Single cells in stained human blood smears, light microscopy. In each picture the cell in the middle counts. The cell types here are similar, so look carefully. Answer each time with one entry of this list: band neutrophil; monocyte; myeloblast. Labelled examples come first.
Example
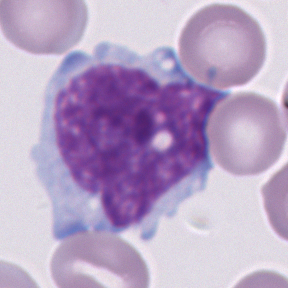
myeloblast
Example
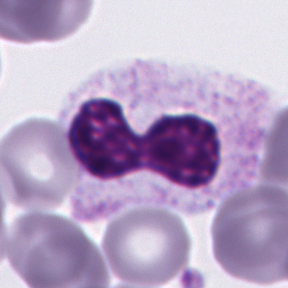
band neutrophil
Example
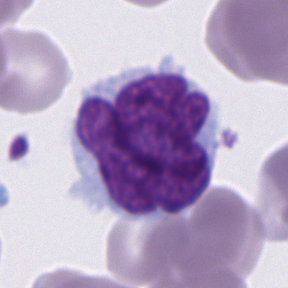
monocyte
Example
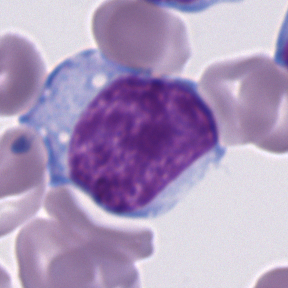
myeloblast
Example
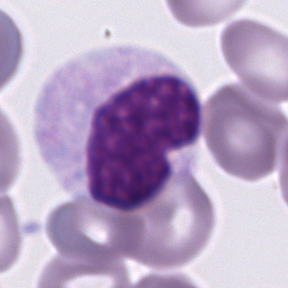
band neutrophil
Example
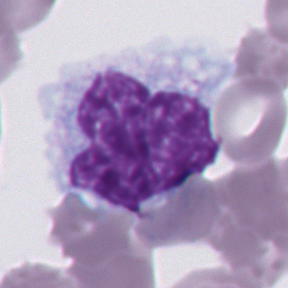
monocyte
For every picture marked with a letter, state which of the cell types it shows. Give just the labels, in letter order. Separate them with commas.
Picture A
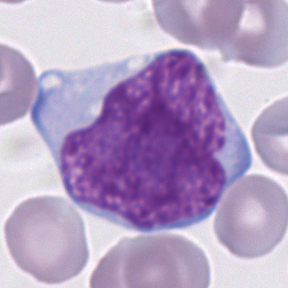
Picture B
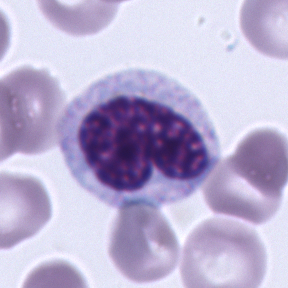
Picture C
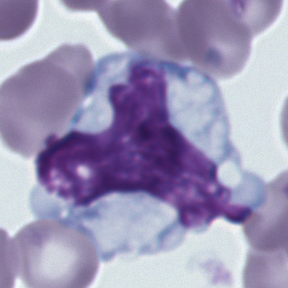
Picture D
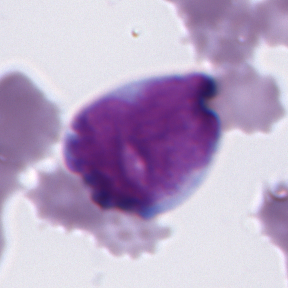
myeloblast, band neutrophil, monocyte, myeloblast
